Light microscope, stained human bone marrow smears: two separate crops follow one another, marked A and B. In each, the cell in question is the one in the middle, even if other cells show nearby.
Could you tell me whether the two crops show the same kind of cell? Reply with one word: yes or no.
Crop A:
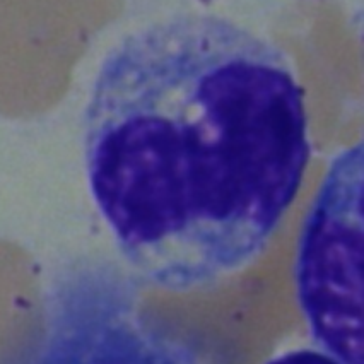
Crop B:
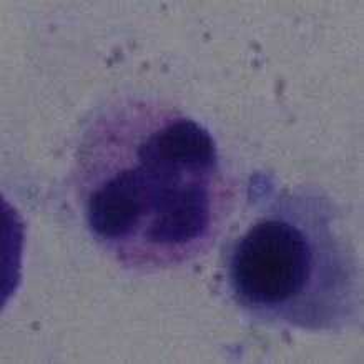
no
